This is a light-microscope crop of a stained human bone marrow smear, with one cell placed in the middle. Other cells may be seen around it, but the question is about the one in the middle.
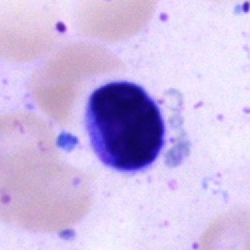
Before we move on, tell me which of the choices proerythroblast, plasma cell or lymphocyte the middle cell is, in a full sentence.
The cell under consideration, at the middle of the crop, is a lymphocyte.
